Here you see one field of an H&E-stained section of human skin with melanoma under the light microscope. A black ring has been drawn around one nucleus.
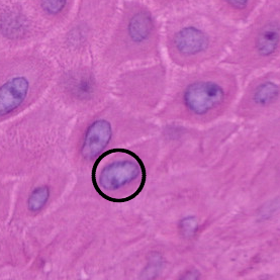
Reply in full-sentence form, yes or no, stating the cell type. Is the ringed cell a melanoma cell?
No, in this section the ringed cell is a keratinocyte and not a melanoma cell.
